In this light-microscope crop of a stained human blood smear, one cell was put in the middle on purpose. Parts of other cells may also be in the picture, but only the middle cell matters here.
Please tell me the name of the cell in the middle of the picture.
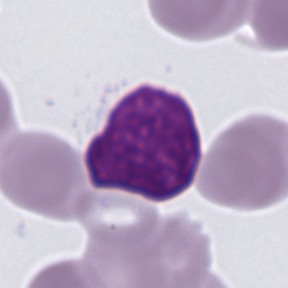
smudge cell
